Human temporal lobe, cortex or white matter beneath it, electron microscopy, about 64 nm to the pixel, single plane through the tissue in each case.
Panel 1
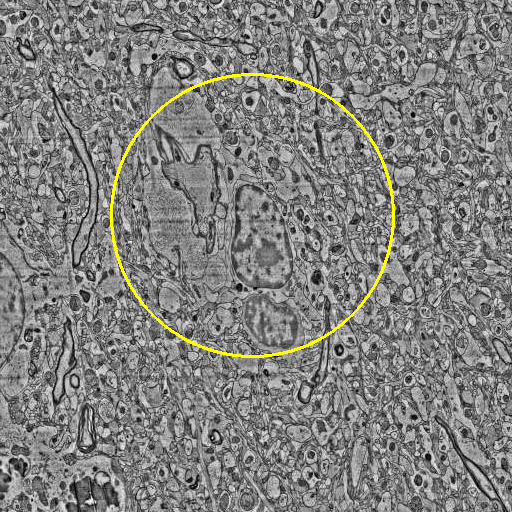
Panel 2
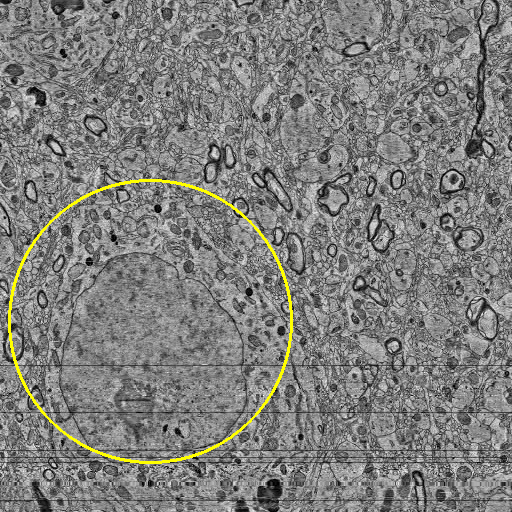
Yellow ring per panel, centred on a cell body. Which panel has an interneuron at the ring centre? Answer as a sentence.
Panel 2 shows it at the ring centre.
